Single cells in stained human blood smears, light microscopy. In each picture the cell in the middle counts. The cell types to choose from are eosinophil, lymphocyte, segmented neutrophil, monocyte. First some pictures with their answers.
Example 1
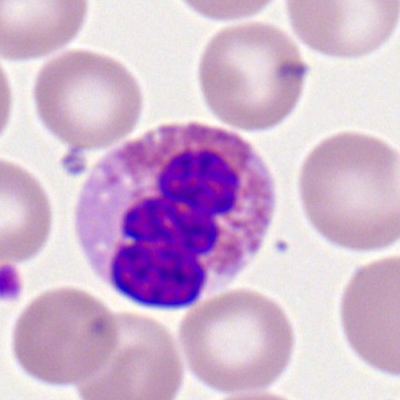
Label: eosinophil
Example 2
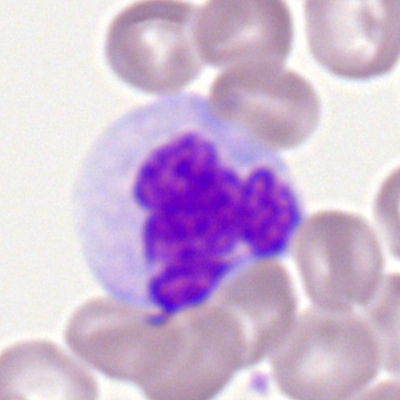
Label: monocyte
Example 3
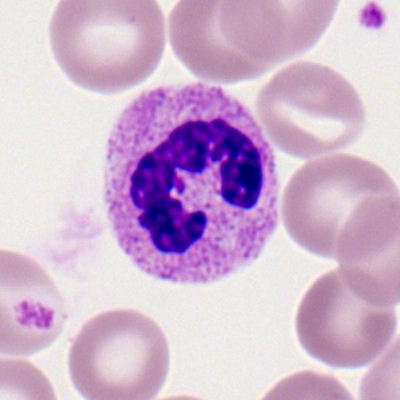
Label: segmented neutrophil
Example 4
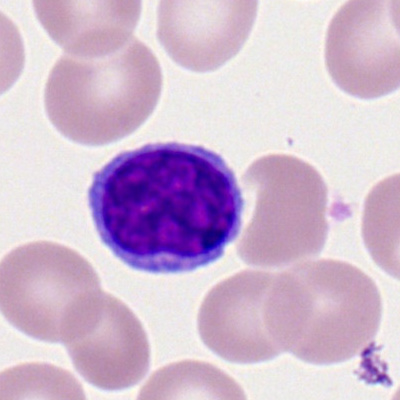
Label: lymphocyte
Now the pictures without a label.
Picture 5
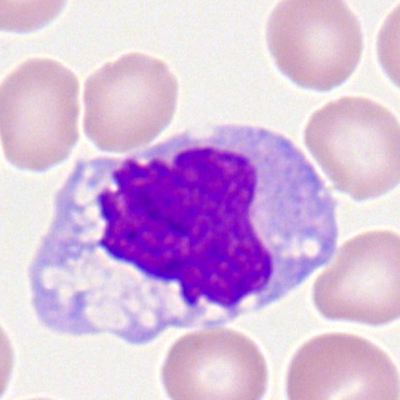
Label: monocyte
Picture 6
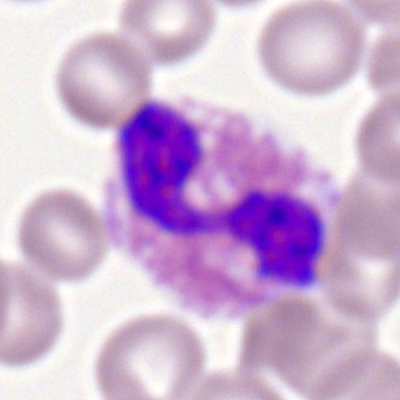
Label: eosinophil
